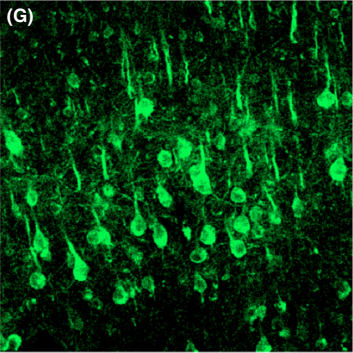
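This is cerebral cortex with many pyramidal neurons labelled in green. Their cell bodies are triangular to teardrop shaped and scattered through the field at several depths, with a dark unlabelled centre where the nucleus sits in some of them. Finer processes and small labelled dots fill the background between the cell bodies.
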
